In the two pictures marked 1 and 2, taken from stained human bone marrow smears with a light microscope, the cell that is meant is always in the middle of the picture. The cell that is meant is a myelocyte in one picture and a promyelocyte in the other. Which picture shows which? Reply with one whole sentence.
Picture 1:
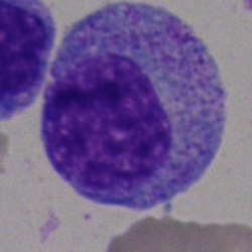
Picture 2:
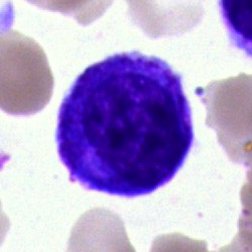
Picture 1 shows a myelocyte and picture 2 shows a promyelocyte.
